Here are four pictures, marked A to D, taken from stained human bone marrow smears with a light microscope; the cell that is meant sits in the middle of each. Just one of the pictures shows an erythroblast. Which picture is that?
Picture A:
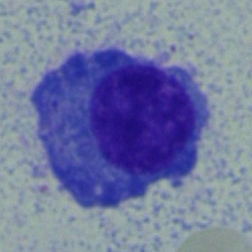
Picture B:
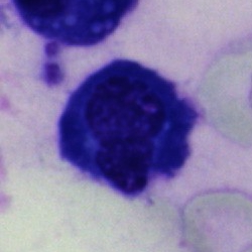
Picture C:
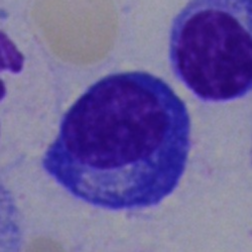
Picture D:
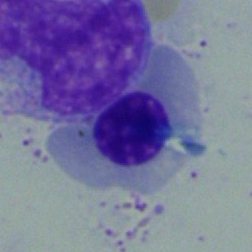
D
